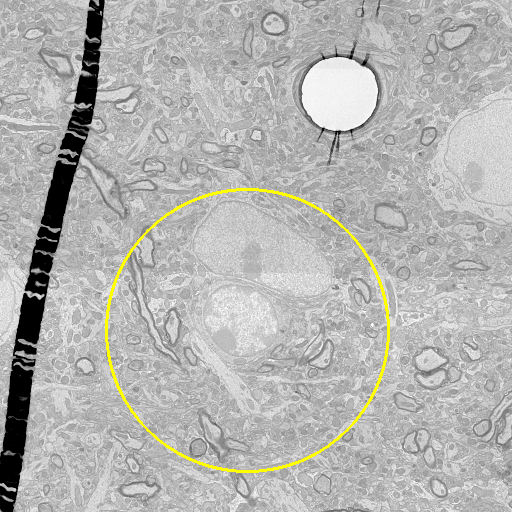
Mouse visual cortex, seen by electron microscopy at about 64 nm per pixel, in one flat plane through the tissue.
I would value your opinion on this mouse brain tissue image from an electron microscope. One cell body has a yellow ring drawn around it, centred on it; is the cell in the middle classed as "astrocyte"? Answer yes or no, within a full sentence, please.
No, I would class the cell in the middle of the ring as a different kind.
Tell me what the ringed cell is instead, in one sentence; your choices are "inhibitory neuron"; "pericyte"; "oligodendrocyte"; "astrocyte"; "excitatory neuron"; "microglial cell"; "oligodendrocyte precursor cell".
The cell that the ring is centred on is an oligodendrocyte.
